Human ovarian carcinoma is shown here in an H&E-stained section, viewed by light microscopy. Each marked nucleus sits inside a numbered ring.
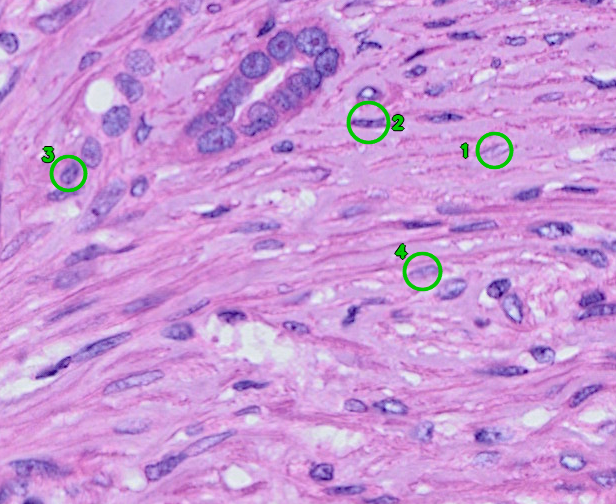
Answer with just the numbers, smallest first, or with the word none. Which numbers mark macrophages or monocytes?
3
